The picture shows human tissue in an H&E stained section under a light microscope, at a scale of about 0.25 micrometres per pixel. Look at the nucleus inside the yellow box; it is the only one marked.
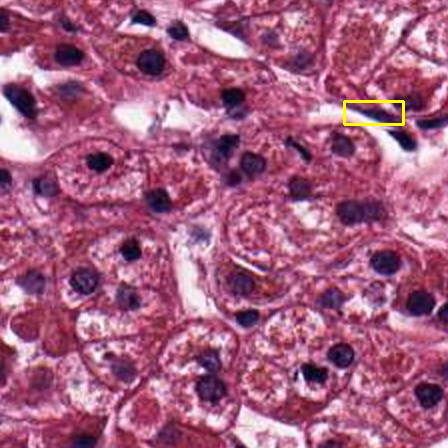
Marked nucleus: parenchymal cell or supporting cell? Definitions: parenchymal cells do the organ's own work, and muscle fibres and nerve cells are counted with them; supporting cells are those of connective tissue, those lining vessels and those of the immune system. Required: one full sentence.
In this field, the marked nucleus is the nucleus of a supporting cell.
